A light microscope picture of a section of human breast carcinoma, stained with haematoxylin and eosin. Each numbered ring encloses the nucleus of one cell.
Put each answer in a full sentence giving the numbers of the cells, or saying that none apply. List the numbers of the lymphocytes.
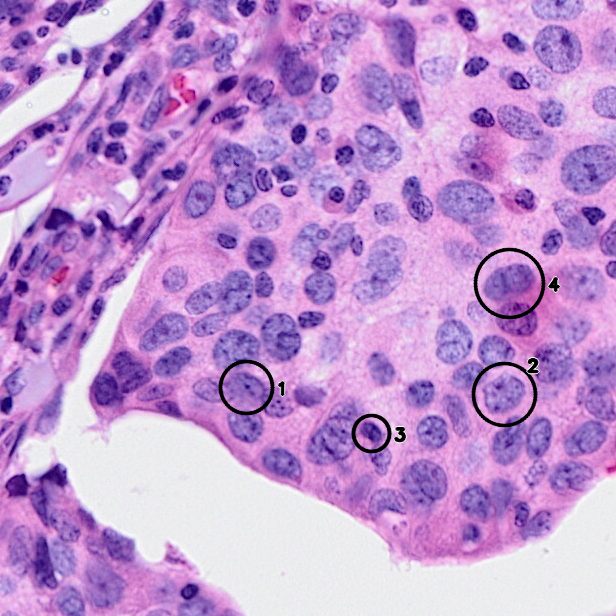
Only cell 3 should be marked as a lymphocyte.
